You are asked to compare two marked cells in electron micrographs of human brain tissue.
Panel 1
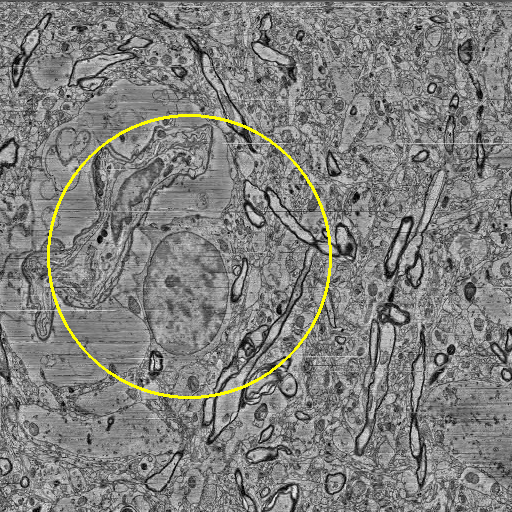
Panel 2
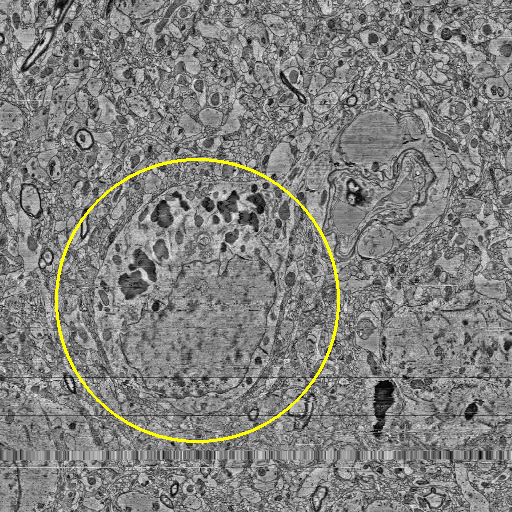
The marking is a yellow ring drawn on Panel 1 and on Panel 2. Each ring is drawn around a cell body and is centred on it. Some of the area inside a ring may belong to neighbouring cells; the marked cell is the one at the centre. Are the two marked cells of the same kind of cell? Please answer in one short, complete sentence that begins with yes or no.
No, the two marked cells are of two kinds.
